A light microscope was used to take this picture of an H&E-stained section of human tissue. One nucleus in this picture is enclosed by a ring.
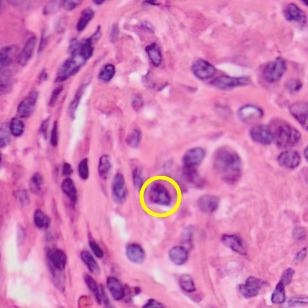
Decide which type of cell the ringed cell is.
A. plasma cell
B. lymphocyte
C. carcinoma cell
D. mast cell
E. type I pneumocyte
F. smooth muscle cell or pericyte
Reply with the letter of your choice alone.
A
